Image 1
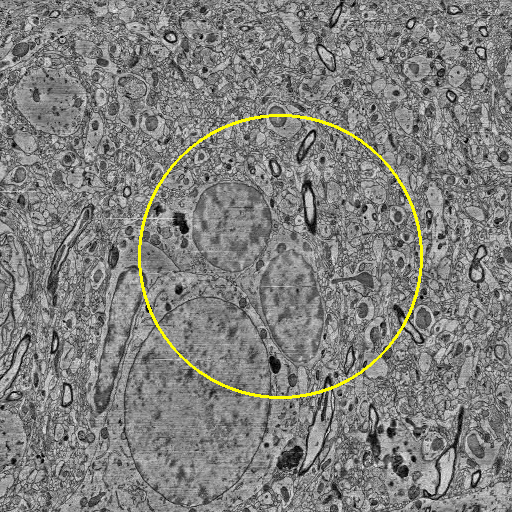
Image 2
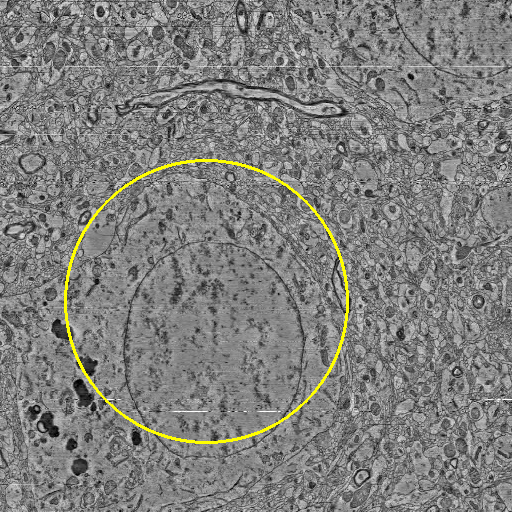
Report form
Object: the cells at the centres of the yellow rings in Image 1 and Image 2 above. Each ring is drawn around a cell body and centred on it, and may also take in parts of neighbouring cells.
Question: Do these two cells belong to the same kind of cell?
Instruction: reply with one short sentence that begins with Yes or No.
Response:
No, they belong to two kinds of cell.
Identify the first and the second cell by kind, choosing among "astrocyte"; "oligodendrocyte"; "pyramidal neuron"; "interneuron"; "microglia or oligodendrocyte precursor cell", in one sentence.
The one in the first picture is an oligodendrocyte, while the one in the second is a pyramidal neuron.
